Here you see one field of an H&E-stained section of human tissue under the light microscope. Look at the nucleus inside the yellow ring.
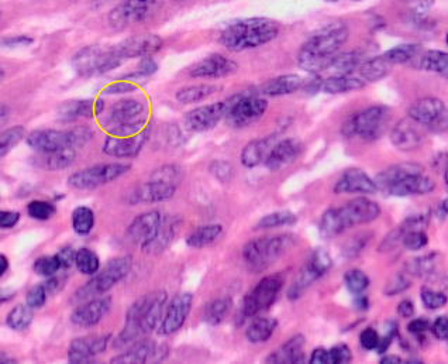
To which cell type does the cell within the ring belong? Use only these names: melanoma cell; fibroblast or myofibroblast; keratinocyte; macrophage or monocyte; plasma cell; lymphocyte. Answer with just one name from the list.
melanoma cell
